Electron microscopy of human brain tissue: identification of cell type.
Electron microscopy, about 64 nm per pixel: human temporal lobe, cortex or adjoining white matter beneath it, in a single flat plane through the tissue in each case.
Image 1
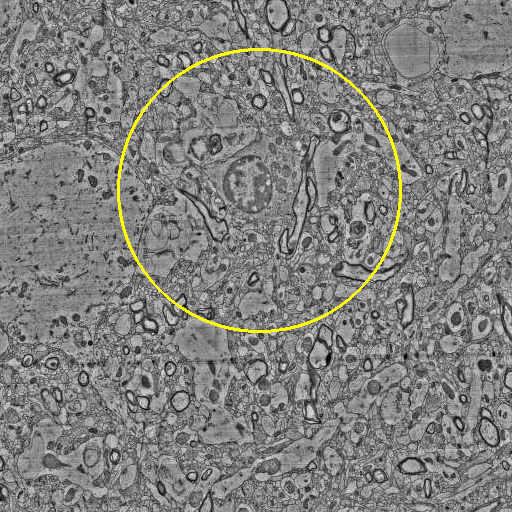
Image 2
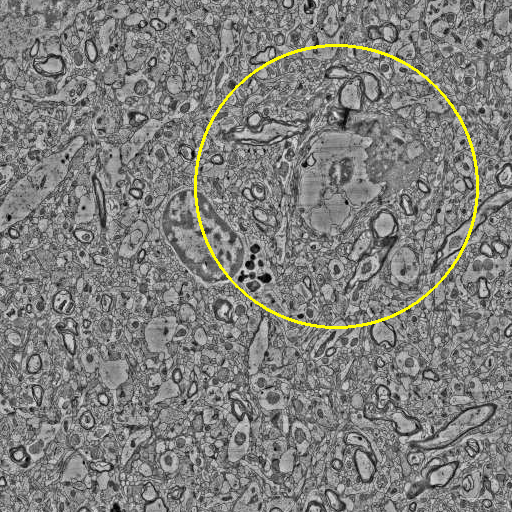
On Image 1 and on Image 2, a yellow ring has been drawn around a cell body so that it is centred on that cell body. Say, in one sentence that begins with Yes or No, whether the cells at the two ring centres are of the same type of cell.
No, the two cells are two separate types of cell.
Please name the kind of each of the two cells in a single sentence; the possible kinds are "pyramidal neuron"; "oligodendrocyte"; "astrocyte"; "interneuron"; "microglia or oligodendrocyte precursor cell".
In the first picture the ring is centred on an oligodendrocyte, and in the second on an astrocyte.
